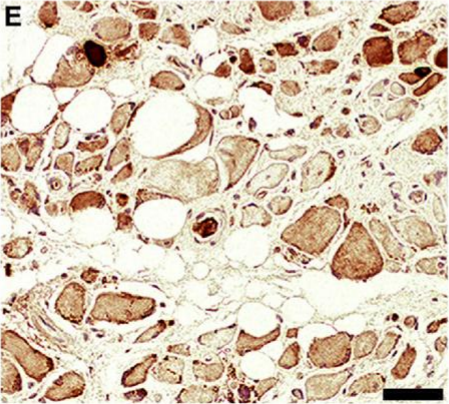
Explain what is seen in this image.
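Skeletal muscle in cross-section shows myofibres of very unequal size scattered through pale, loose tissue. Some fibres are small and rounded, while others are large and swollen. The fibres stain unevenly, with some deep brown, some light brown and many nearly unstained. Several clear round empty spaces lie among the fibres.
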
